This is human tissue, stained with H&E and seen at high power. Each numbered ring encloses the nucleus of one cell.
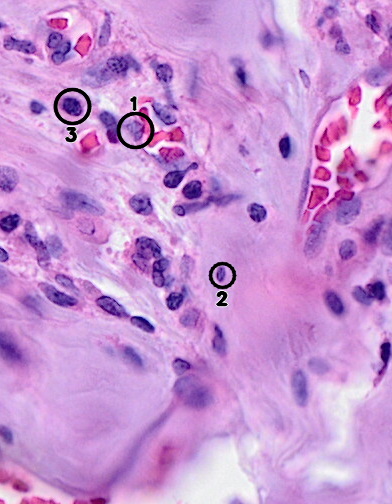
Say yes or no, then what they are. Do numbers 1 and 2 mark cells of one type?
No, cell 1 is an endothelial cell and cell 2 is a lymphocyte.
